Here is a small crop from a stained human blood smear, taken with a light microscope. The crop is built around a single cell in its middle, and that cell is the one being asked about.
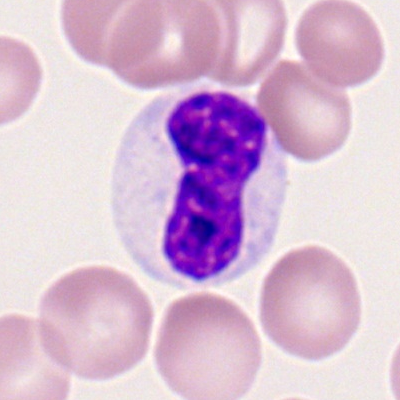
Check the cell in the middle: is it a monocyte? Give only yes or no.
no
